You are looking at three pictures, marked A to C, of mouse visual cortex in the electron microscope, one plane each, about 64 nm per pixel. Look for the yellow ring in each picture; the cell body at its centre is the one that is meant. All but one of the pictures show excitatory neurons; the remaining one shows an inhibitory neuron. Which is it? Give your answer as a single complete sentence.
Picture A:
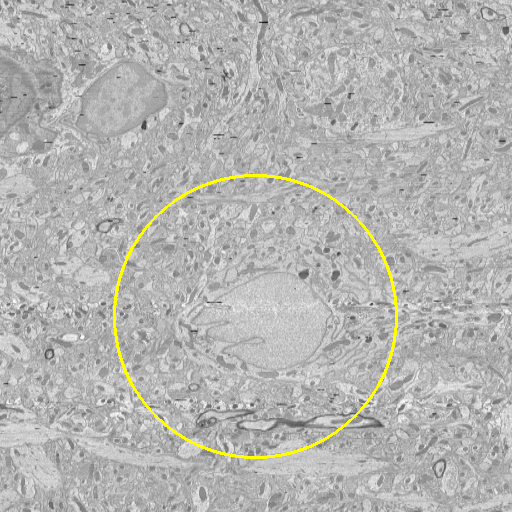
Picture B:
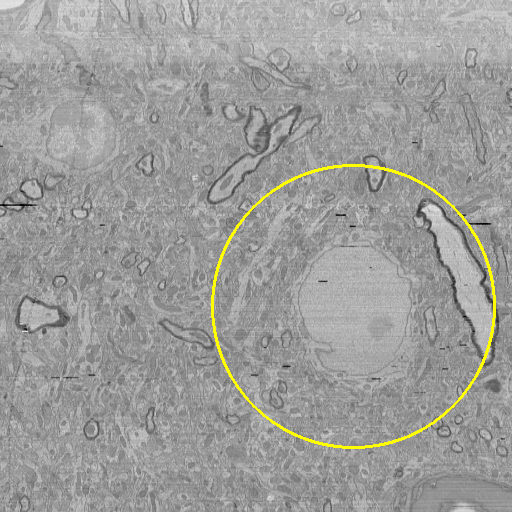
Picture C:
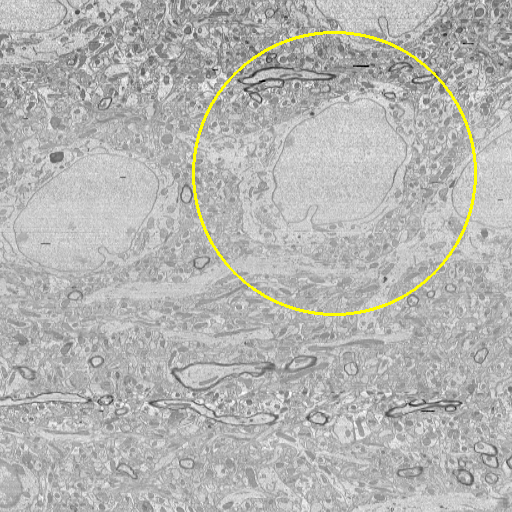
The cell in picture A is the inhibitory neuron.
